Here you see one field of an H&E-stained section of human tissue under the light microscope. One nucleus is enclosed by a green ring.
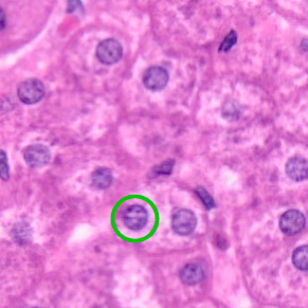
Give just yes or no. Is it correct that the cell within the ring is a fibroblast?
no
